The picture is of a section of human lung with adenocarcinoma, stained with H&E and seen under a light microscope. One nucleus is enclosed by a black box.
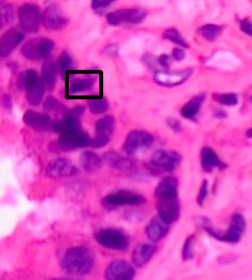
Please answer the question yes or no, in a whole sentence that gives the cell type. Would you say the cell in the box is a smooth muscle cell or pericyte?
No, it is a ciliated epithelial cell that the cell in the box is, rather than a smooth muscle cell or pericyte.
